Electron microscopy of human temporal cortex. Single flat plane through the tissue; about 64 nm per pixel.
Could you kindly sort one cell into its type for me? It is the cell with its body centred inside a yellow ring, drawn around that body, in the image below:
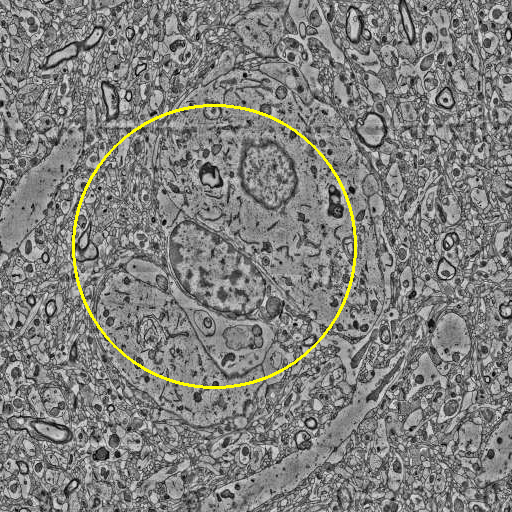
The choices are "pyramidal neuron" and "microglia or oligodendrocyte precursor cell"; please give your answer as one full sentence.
The cell whose body lies centred in the yellow ring here is a microglial cell or oligodendrocyte precursor cell.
